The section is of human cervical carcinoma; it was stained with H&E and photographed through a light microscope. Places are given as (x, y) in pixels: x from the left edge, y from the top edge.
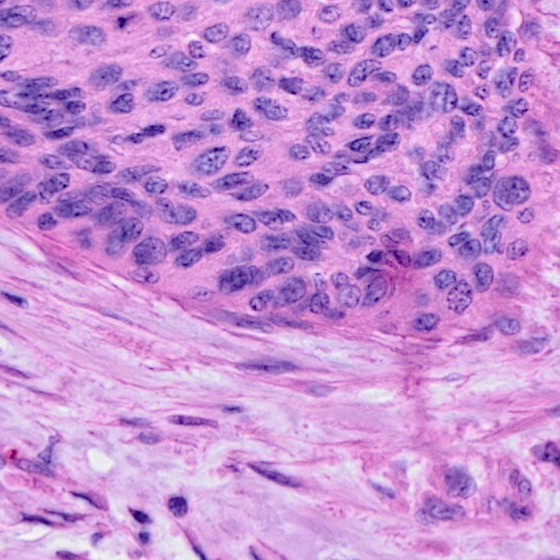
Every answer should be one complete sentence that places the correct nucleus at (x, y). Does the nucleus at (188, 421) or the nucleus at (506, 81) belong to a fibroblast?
The nucleus at (188, 421) is attributed to a fibroblast, unlike the other nucleus.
